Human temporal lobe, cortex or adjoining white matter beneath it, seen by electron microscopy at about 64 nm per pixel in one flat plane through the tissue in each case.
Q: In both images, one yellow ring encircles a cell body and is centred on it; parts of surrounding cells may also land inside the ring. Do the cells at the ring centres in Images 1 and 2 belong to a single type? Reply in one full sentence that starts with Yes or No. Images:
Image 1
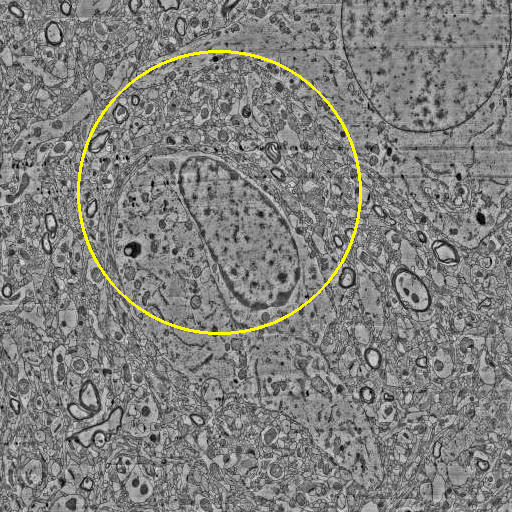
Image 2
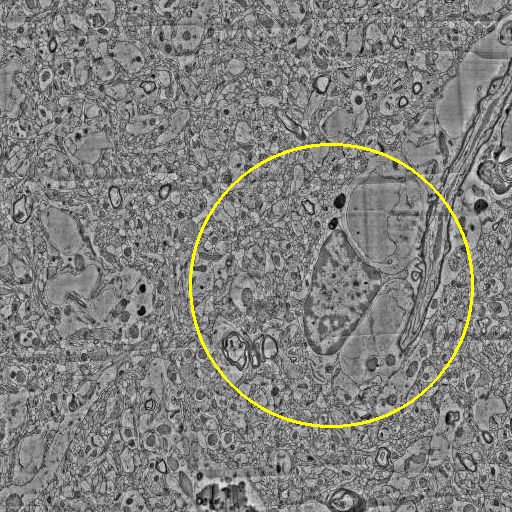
Yes, the cells at the ring centres in Images 1 and 2 are of a single type.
